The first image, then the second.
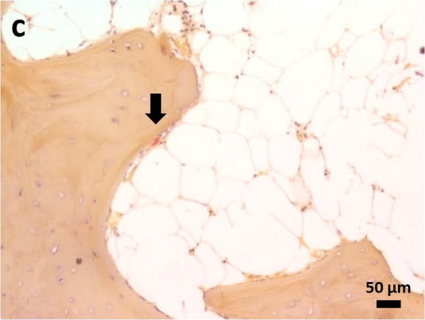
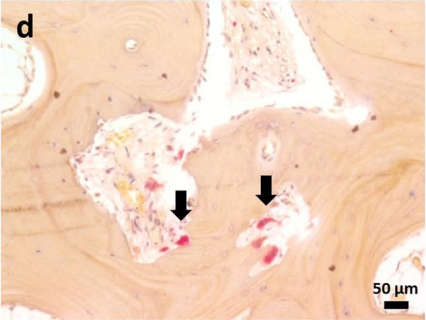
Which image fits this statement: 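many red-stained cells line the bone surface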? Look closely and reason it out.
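First image: only a single small red-stained cell is seen at the bone edge beside fatty marrow. Second image: several clusters of red-stained cells sit along the bone surfaces.
Answer: the second image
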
